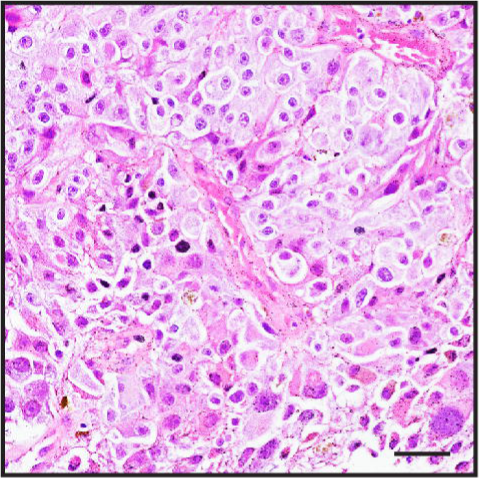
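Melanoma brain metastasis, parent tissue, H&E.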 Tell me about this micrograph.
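The nuclei vary markedly in size and shape, several being very large and darkly stained, some with prominent nucleoli, and a few bizarre giant cells stand out. Thin pink strands of connective tissue run between groups of cells.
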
